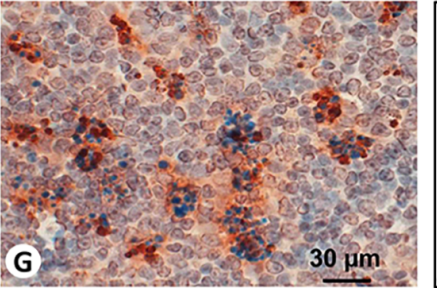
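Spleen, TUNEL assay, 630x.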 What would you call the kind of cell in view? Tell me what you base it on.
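Tingible body macrophages. Large cells with abundant cytoplasm lie among densely packed small round lymphocytes. These large cells contain several engulfed dark brown and blue-green rounded bodies.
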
